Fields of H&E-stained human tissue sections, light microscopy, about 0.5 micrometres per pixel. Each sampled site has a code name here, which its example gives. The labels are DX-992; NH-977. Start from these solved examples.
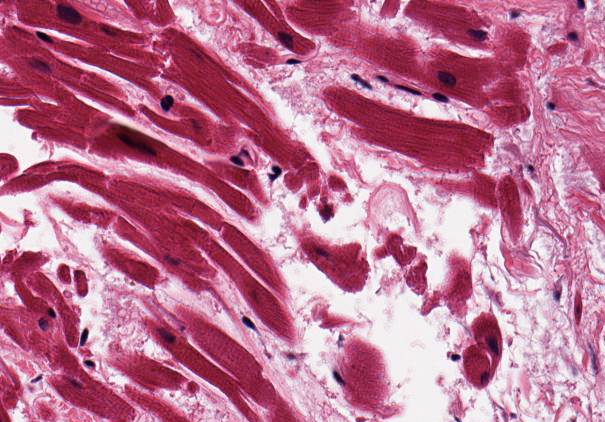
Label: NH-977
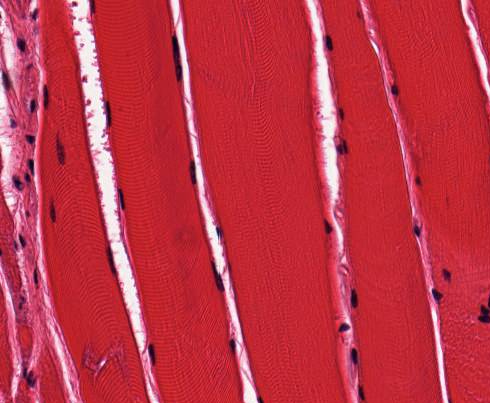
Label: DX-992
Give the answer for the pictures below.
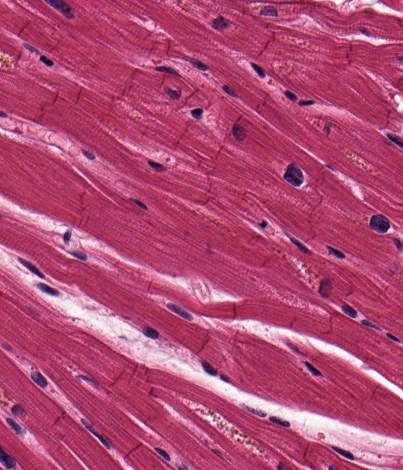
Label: NH-977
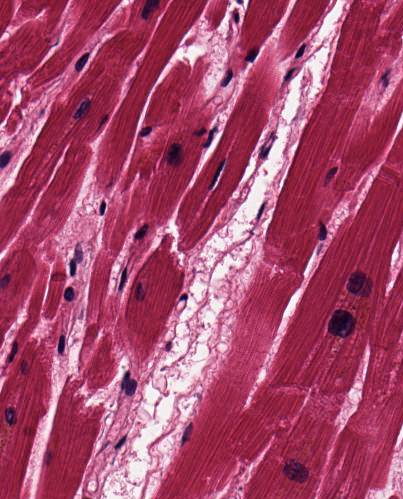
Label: NH-977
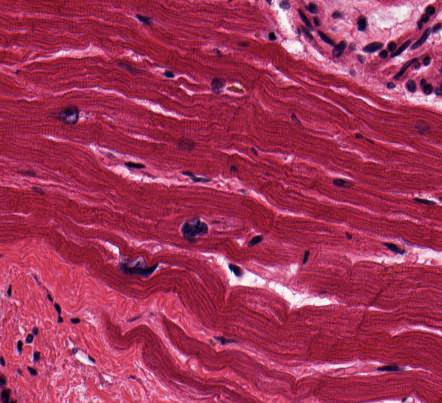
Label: NH-977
